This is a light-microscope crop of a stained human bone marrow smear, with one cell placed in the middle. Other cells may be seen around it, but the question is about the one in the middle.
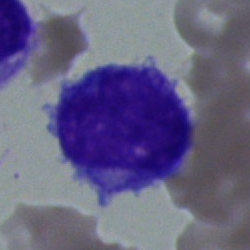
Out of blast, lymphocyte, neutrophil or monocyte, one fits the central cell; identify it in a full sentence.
Centrally within this crop lies a blast.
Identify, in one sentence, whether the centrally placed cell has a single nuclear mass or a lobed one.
The nucleus amounts to one compact mass with a round, oval or kidney-shaped outline.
